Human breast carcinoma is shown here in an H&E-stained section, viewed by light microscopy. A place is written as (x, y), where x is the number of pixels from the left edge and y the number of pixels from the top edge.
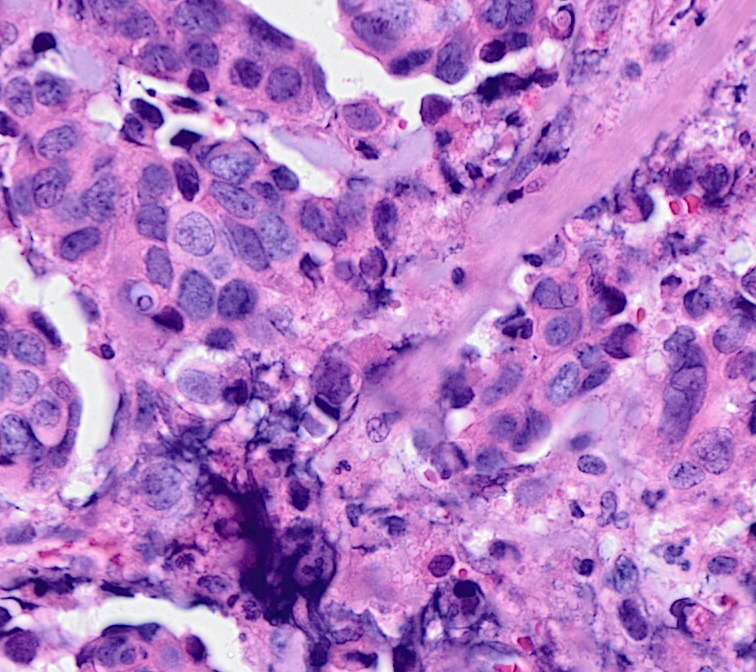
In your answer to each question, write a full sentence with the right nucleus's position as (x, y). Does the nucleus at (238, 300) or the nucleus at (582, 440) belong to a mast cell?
The nucleus contained in a mast cell is the one at (582, 440).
